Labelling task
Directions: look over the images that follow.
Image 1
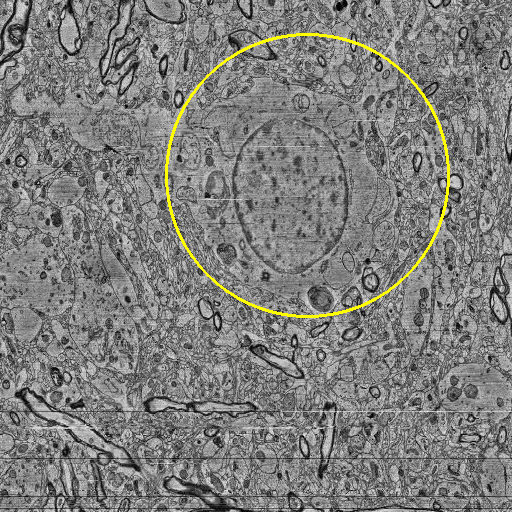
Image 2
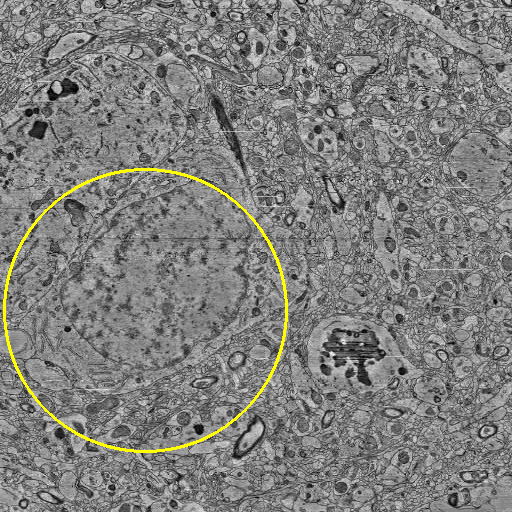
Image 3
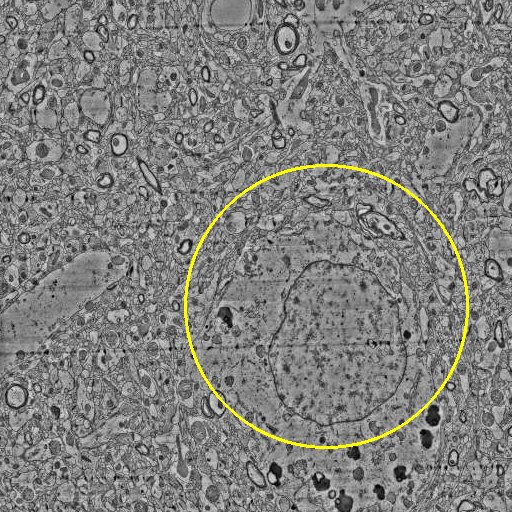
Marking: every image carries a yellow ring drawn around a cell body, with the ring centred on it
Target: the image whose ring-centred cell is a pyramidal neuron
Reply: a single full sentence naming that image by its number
The requested cell sits at the ring's centre in Image 3.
